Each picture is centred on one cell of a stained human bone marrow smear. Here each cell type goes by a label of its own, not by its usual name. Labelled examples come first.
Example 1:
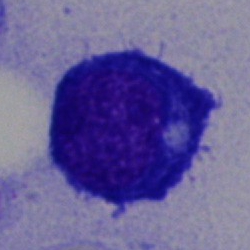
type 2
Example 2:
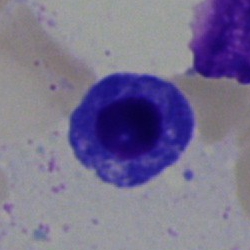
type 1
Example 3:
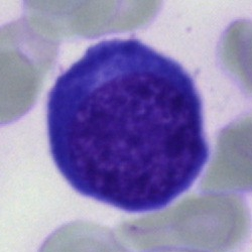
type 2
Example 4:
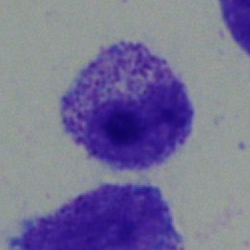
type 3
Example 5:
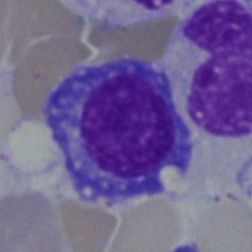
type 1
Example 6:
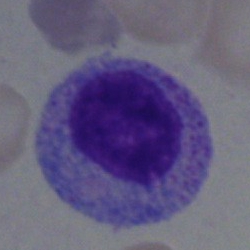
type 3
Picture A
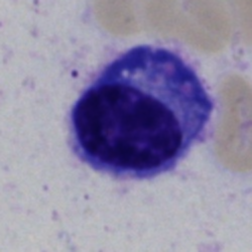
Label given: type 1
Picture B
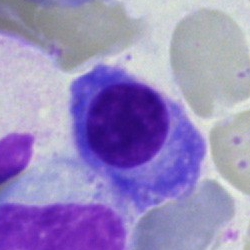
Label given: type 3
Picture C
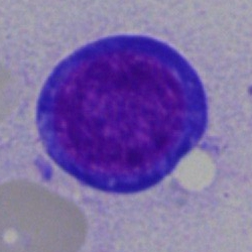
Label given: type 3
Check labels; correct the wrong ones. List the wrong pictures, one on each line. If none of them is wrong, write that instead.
B: change type 3 to type 1
C: change type 3 to type 2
